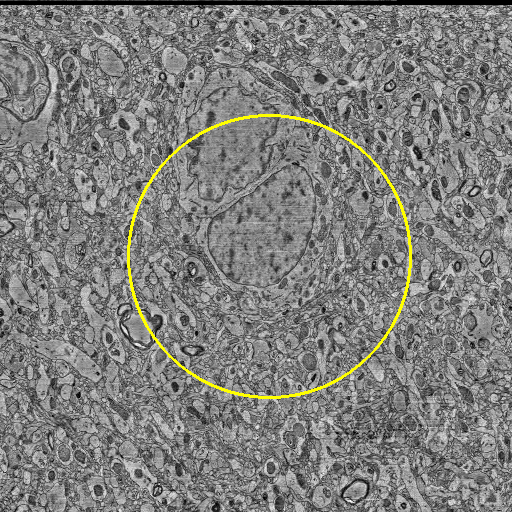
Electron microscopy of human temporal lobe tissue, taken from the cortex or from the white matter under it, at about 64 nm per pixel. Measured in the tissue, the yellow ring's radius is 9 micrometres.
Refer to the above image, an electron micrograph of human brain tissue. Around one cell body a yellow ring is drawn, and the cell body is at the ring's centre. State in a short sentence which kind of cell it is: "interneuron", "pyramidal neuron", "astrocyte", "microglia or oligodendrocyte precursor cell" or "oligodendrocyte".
The centre of the ring falls on a microglial cell or oligodendrocyte precursor cell.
